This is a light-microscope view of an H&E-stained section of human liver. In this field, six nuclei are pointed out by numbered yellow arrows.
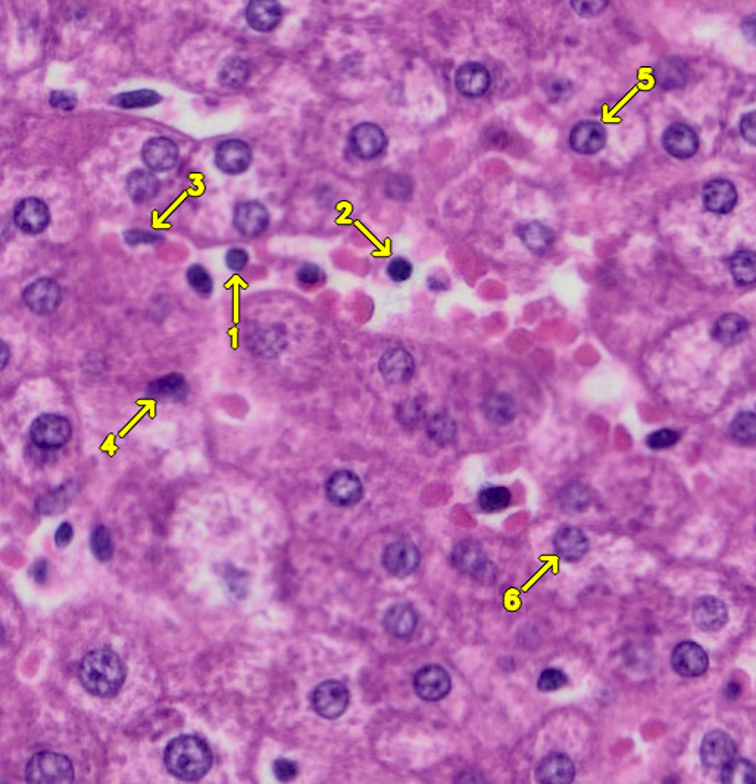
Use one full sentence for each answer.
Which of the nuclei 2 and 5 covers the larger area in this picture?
It is nucleus 5, which covers about 2 times the area of nucleus 2.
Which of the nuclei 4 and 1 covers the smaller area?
Number 1 is smaller, since number 4 takes up about 2 times as much area.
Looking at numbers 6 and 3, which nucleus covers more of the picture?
Nucleus 6 is the larger one, covering about 1.5 times the area of nucleus 3.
